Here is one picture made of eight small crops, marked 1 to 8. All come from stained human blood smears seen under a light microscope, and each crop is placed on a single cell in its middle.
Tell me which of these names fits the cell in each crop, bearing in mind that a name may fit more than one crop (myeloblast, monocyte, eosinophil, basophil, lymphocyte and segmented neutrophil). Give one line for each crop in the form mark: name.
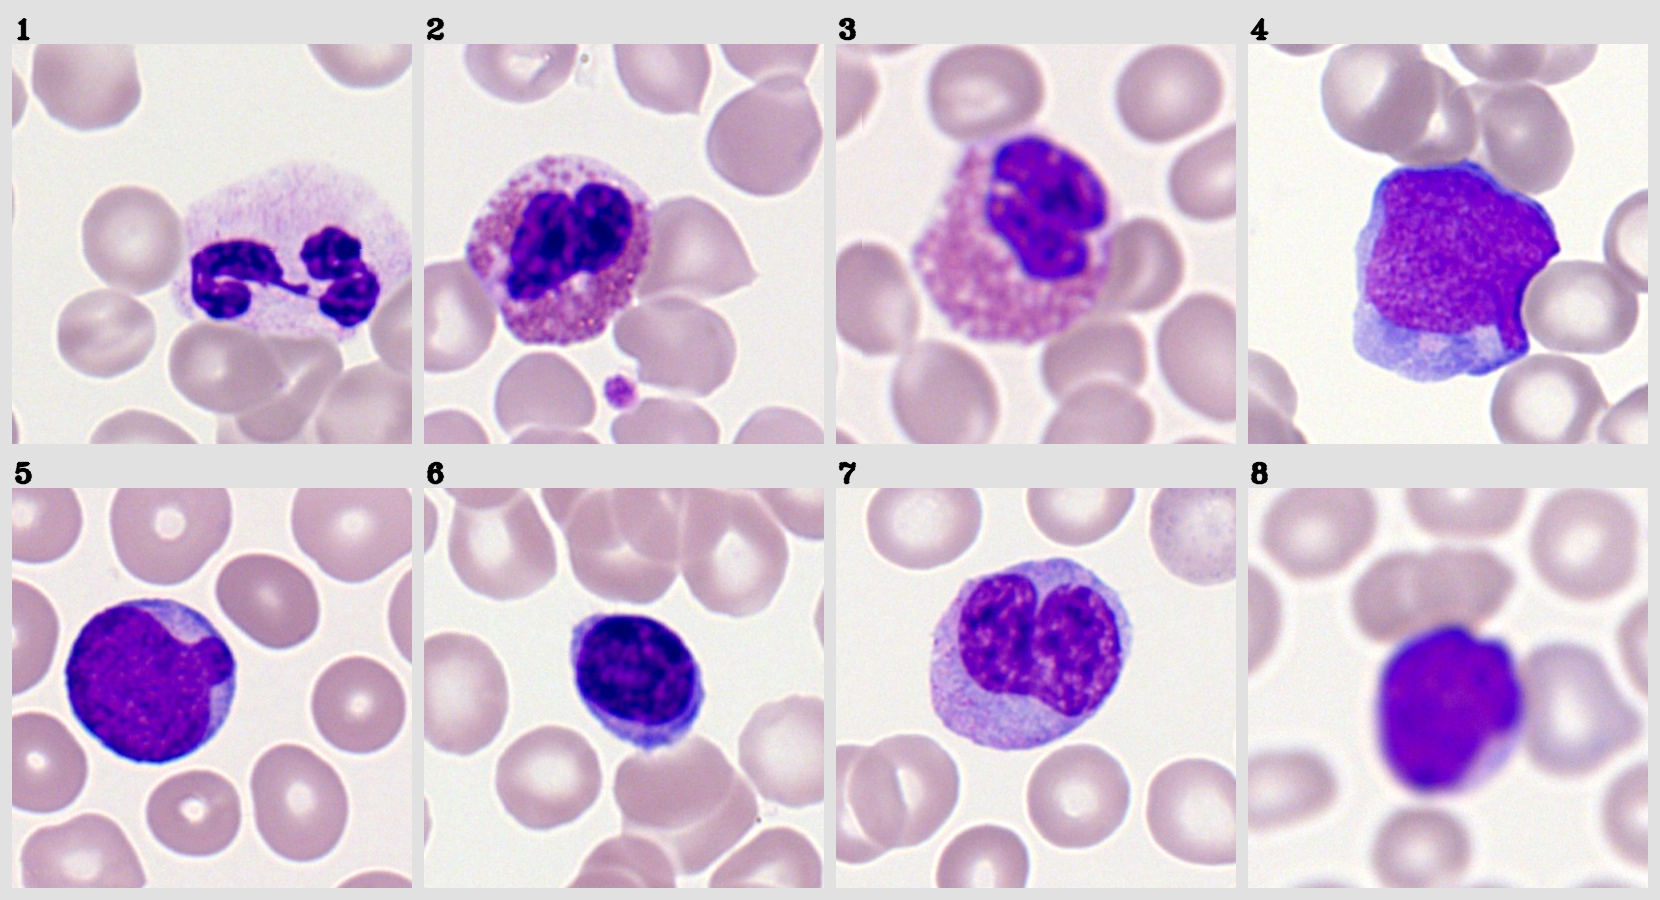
1: segmented neutrophil
2: eosinophil
3: eosinophil
4: myeloblast
5: myeloblast
6: lymphocyte
7: monocyte
8: myeloblast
